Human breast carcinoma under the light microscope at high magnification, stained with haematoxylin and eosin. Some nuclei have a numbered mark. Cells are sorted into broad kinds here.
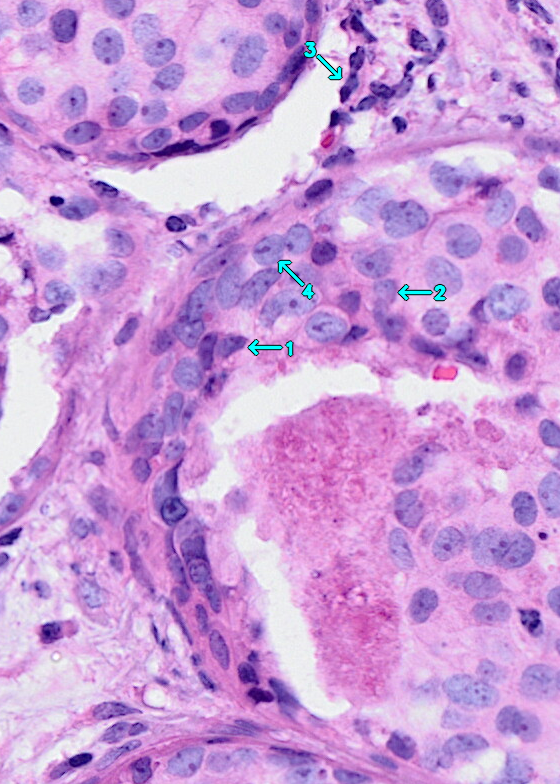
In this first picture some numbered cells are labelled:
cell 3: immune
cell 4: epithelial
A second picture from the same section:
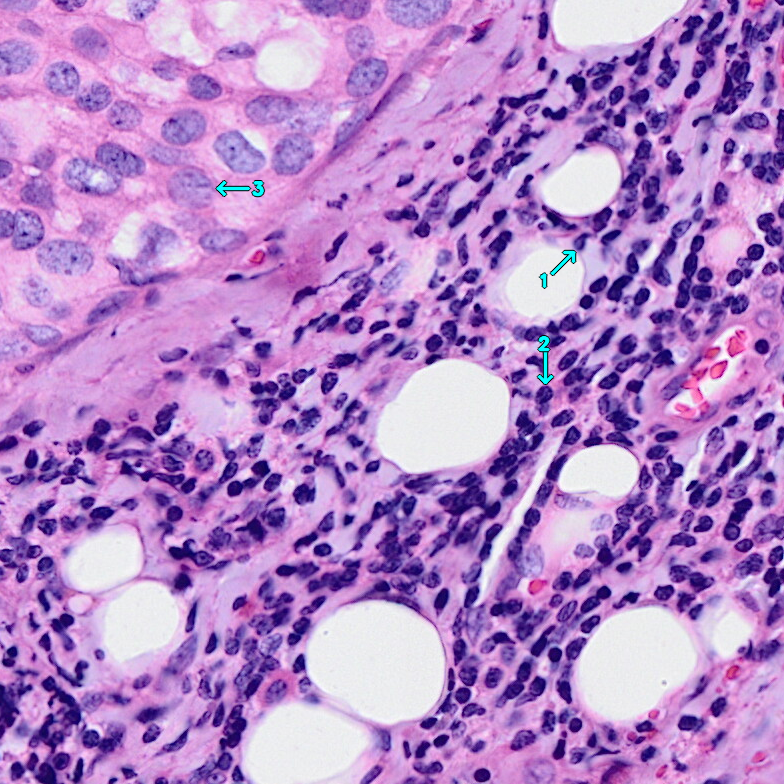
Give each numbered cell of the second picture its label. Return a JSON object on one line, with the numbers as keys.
{"1": "immune", "2": "immune", "3": "epithelial"}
